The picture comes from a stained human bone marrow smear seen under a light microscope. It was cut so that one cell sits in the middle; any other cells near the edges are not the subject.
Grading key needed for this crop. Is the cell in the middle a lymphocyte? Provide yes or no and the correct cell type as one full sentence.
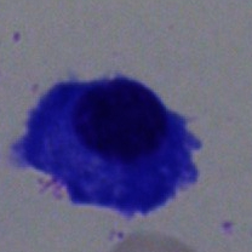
No, instead of a lymphocyte, the middle cell is a plasma cell.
